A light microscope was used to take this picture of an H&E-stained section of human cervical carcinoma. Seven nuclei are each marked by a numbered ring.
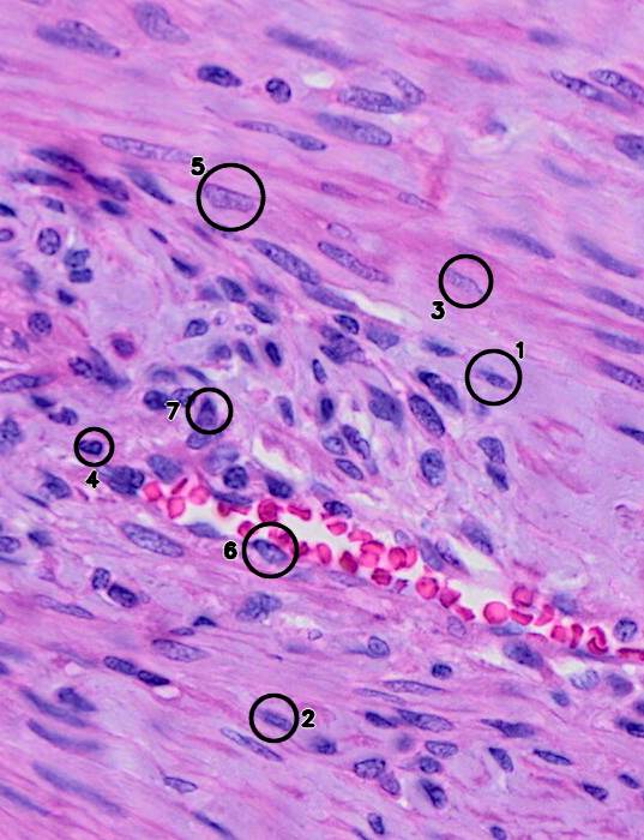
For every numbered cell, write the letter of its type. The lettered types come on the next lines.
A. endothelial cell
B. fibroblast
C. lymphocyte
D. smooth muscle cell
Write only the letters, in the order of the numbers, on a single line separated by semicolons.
B; D; D; C; D; A; C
